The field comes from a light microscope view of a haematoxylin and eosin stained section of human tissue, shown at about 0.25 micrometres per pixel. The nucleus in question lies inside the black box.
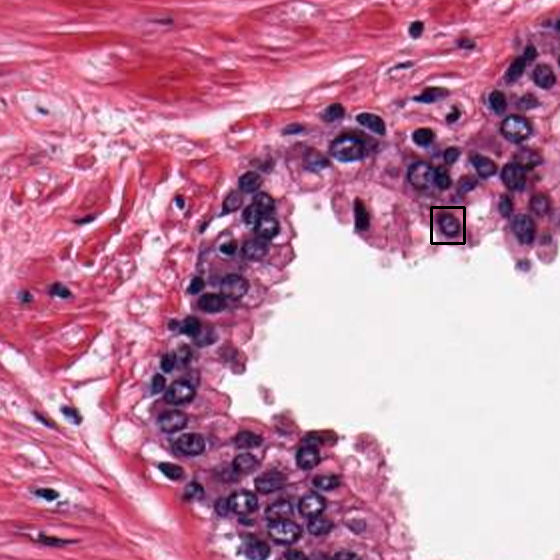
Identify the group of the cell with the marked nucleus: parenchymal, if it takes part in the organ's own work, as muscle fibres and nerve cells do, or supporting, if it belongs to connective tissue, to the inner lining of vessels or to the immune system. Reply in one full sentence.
In the tissue shown, the marked nucleus is that of a prostate gland luminal cell, a parenchymal cell.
